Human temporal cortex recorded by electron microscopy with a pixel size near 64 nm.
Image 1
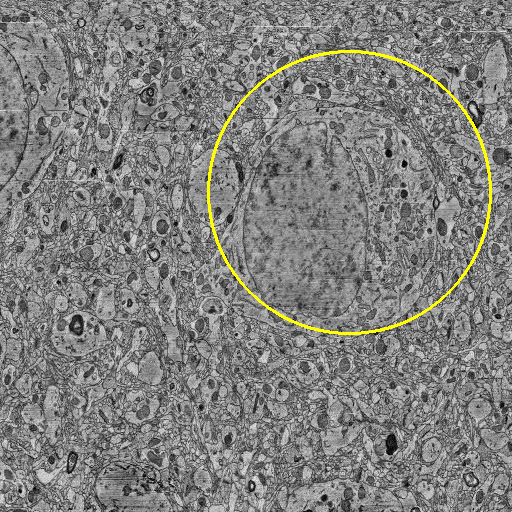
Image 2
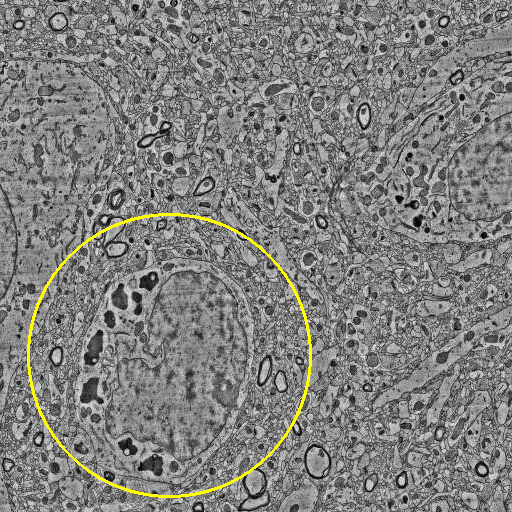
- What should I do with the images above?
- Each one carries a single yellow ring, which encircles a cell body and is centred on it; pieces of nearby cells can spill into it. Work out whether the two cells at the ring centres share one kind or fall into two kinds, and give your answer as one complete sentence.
The ring-centre cells of Image 1 and Image 2 share one kind.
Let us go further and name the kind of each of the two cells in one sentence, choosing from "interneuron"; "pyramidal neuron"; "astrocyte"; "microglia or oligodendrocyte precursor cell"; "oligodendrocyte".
Each of the two rings surrounds an interneuron.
